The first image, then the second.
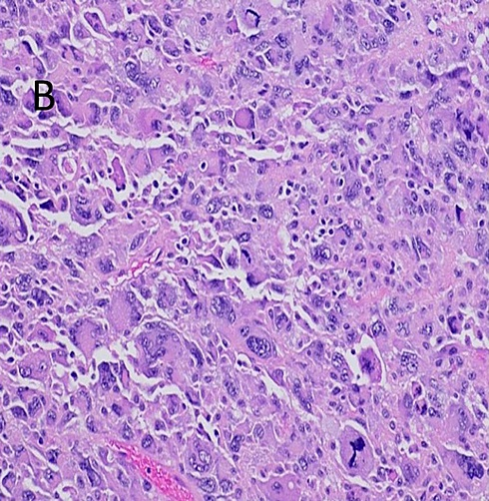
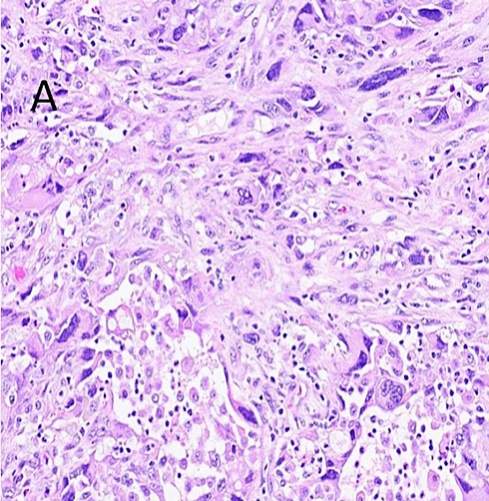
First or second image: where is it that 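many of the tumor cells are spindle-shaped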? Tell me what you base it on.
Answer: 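First image: cells are mostly plump and polygonal, lying in sheets. Second image: many cells are elongated with stretched nuclei, running in streaming bundles. That points to this answer: the second image.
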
